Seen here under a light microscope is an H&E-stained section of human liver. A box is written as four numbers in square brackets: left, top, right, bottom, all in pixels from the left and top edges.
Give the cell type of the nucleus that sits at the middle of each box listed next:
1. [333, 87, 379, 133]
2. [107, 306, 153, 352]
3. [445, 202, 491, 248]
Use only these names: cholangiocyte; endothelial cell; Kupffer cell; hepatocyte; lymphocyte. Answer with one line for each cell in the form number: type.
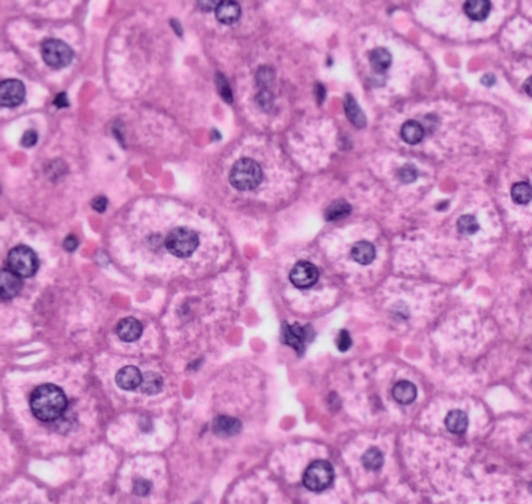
1: Kupffer cell
2: hepatocyte
3: hepatocyte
